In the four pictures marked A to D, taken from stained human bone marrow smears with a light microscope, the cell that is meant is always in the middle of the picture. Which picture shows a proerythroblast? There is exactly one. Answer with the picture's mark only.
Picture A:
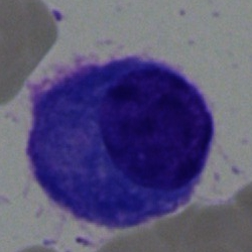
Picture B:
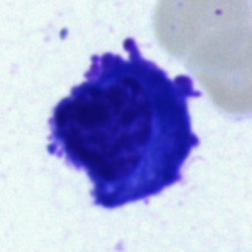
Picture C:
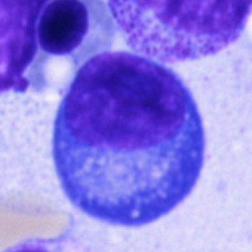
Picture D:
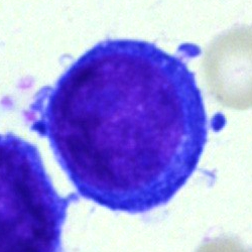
D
